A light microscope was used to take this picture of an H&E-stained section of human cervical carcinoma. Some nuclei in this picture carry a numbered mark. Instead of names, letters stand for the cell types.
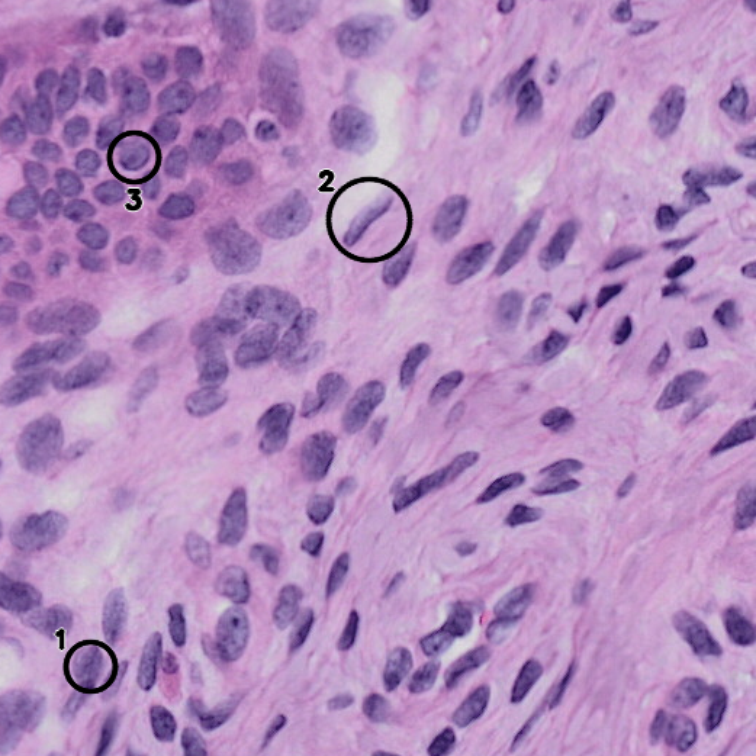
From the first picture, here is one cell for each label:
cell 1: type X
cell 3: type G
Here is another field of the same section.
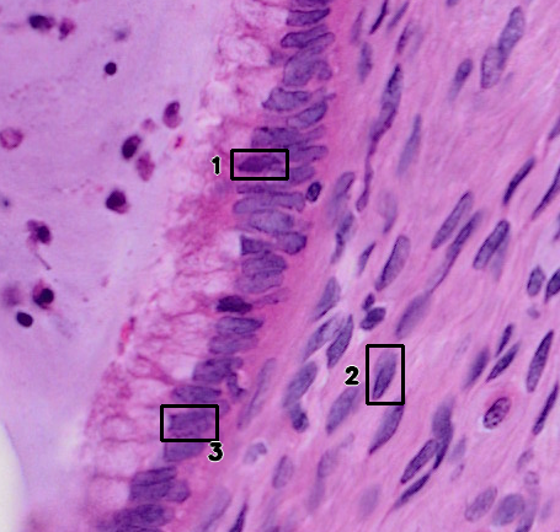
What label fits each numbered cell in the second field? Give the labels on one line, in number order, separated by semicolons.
type G; type X; type G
